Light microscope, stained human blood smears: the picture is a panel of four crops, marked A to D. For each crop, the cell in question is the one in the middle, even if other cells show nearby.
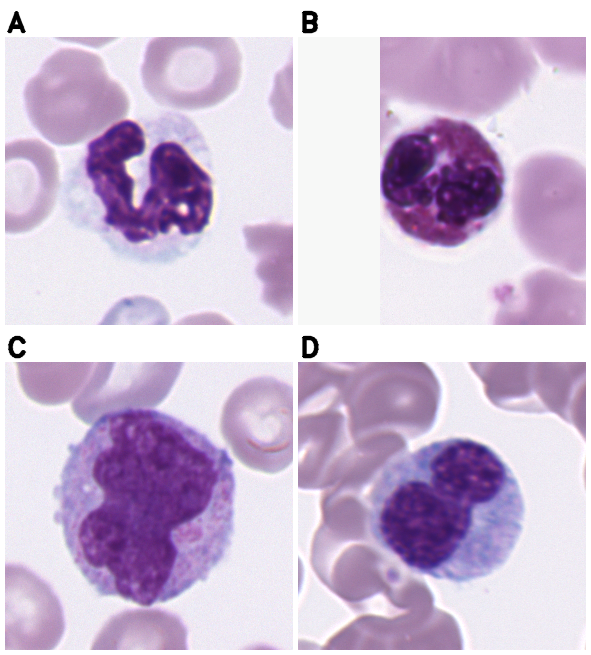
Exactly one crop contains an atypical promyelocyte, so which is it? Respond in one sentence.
Here the crop that shows an atypical promyelocyte is crop C.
